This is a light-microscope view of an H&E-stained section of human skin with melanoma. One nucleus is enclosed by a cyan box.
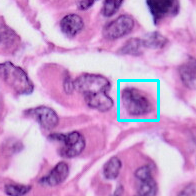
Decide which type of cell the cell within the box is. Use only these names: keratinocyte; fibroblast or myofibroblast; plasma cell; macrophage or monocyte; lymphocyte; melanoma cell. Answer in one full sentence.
In the tissue under study, the cell within the box is a melanoma cell.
